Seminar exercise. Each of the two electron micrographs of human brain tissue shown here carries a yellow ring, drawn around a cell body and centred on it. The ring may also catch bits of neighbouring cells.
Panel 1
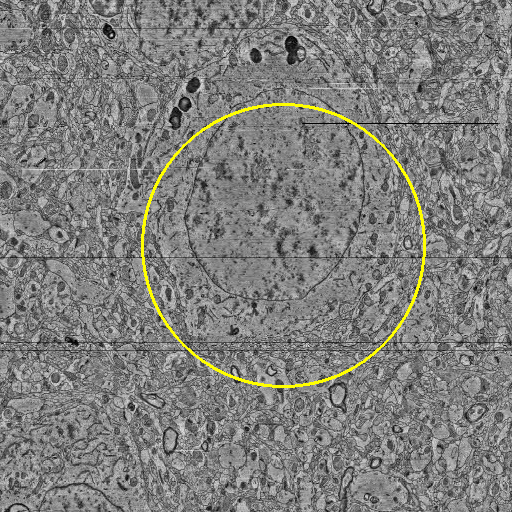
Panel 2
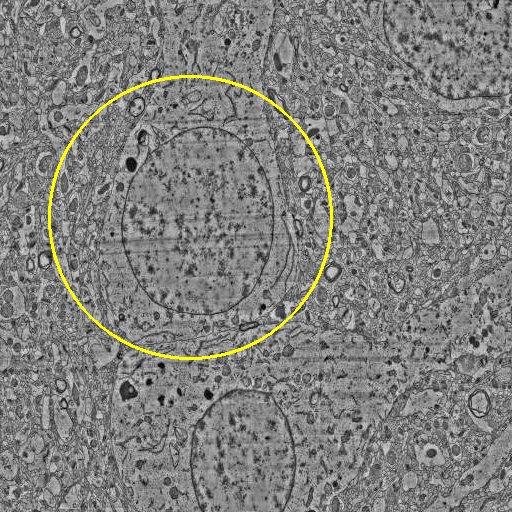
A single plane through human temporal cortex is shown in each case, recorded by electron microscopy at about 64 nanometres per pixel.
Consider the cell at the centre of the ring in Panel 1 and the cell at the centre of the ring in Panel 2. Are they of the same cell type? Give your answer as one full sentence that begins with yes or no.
Yes, both cells are of the same type.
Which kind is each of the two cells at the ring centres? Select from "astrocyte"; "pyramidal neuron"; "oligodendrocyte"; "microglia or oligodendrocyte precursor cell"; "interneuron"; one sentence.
The ring centre holds a pyramidal neuron in each of the two pictures.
